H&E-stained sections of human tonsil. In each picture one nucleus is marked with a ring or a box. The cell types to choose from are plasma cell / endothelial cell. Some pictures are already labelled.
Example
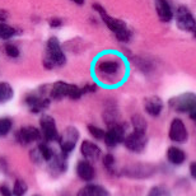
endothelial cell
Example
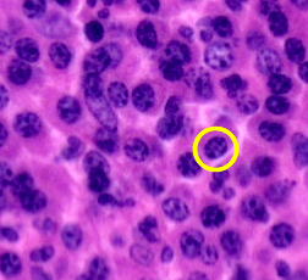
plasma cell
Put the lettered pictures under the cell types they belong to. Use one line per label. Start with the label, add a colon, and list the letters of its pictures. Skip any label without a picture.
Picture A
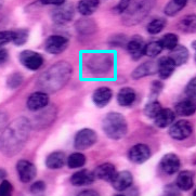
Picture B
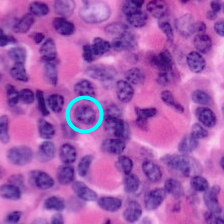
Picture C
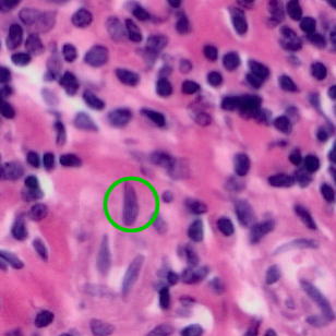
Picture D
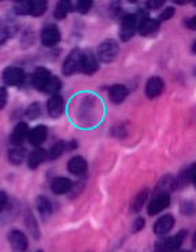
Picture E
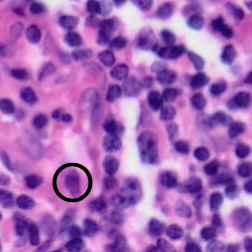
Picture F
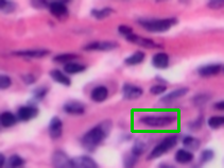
plasma cell: B
endothelial cell: A, C, D, E, F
